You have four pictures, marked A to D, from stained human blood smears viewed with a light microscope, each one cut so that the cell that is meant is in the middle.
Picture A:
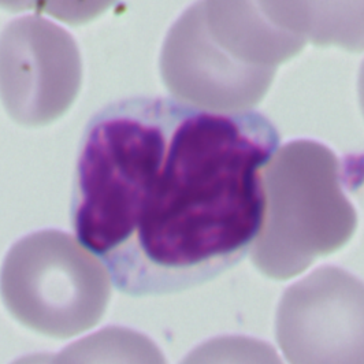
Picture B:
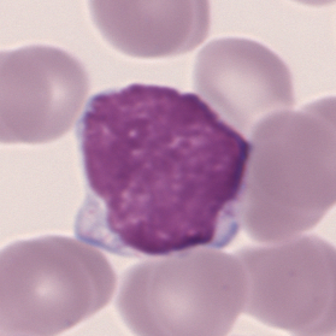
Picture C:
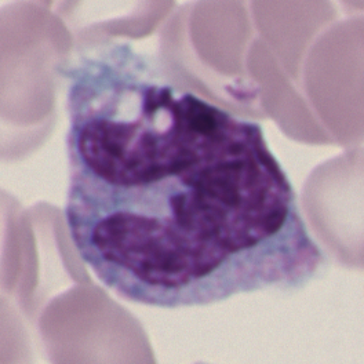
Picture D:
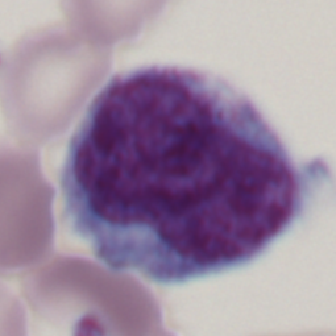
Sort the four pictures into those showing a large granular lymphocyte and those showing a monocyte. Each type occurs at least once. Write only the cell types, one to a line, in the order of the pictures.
large granular lymphocyte
large granular lymphocyte
monocyte
monocyte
